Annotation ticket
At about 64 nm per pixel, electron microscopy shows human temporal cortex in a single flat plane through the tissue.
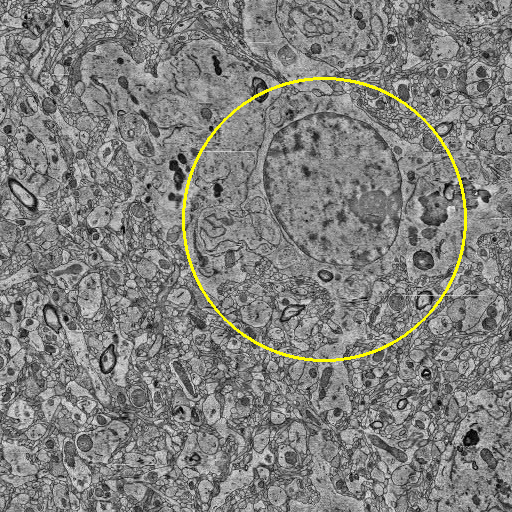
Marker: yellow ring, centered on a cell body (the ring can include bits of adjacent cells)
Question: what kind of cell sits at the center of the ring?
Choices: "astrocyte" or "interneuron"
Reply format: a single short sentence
The ring is centered on an astrocyte.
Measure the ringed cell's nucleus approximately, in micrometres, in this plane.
In this plane the nucleus spans approximately 11 by 9 micrometers.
